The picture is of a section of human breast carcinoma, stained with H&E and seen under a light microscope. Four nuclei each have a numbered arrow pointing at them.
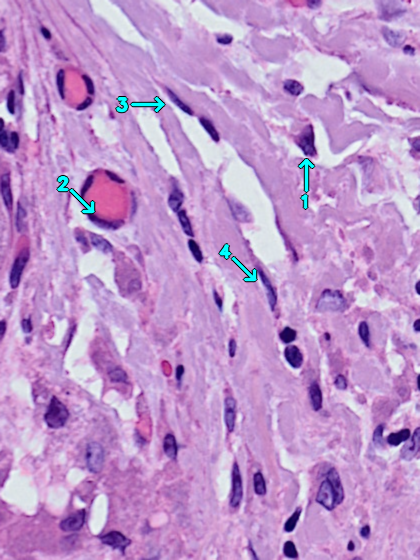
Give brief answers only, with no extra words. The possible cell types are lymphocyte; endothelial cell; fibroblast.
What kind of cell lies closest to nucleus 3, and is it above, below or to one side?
a fibroblast below and to the right of nucleus 3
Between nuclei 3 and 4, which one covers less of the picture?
3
